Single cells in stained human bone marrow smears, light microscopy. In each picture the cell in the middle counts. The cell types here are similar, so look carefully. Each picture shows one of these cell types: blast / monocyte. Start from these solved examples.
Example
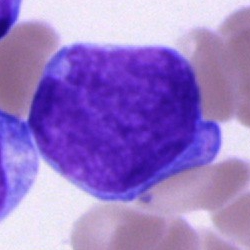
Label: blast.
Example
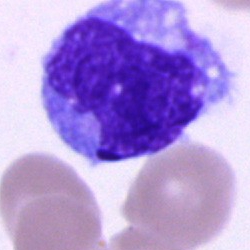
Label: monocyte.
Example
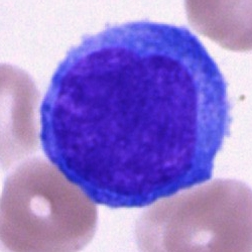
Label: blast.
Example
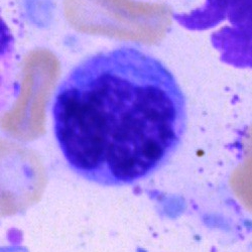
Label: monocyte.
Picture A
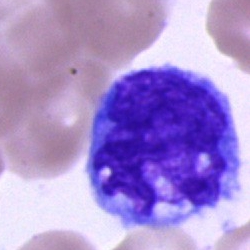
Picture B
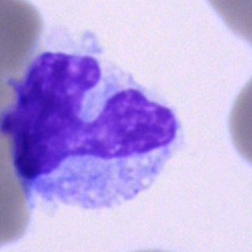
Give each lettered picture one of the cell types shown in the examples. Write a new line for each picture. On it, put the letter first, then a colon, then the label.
A: monocyte.
B: monocyte.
